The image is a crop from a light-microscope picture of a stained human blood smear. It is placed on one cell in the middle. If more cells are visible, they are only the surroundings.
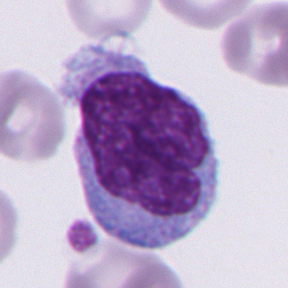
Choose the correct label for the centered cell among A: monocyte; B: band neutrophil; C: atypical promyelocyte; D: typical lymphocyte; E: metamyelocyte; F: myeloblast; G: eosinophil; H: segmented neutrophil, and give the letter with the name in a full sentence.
In this crop the middle cell is a monocyte, so option A is the correct answer.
